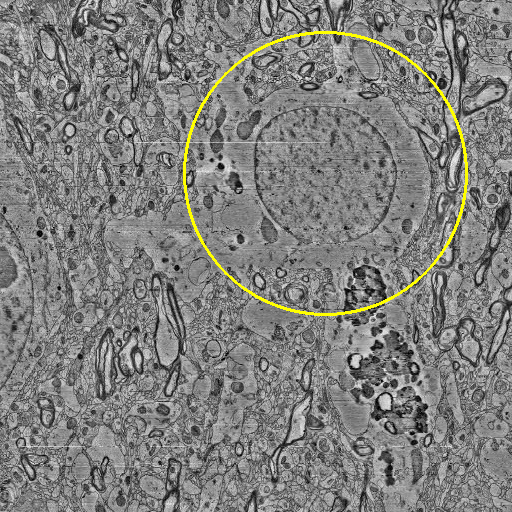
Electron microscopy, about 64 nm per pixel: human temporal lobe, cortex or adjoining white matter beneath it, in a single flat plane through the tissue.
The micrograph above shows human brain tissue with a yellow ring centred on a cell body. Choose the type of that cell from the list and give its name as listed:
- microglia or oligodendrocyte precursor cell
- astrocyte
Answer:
astrocyte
